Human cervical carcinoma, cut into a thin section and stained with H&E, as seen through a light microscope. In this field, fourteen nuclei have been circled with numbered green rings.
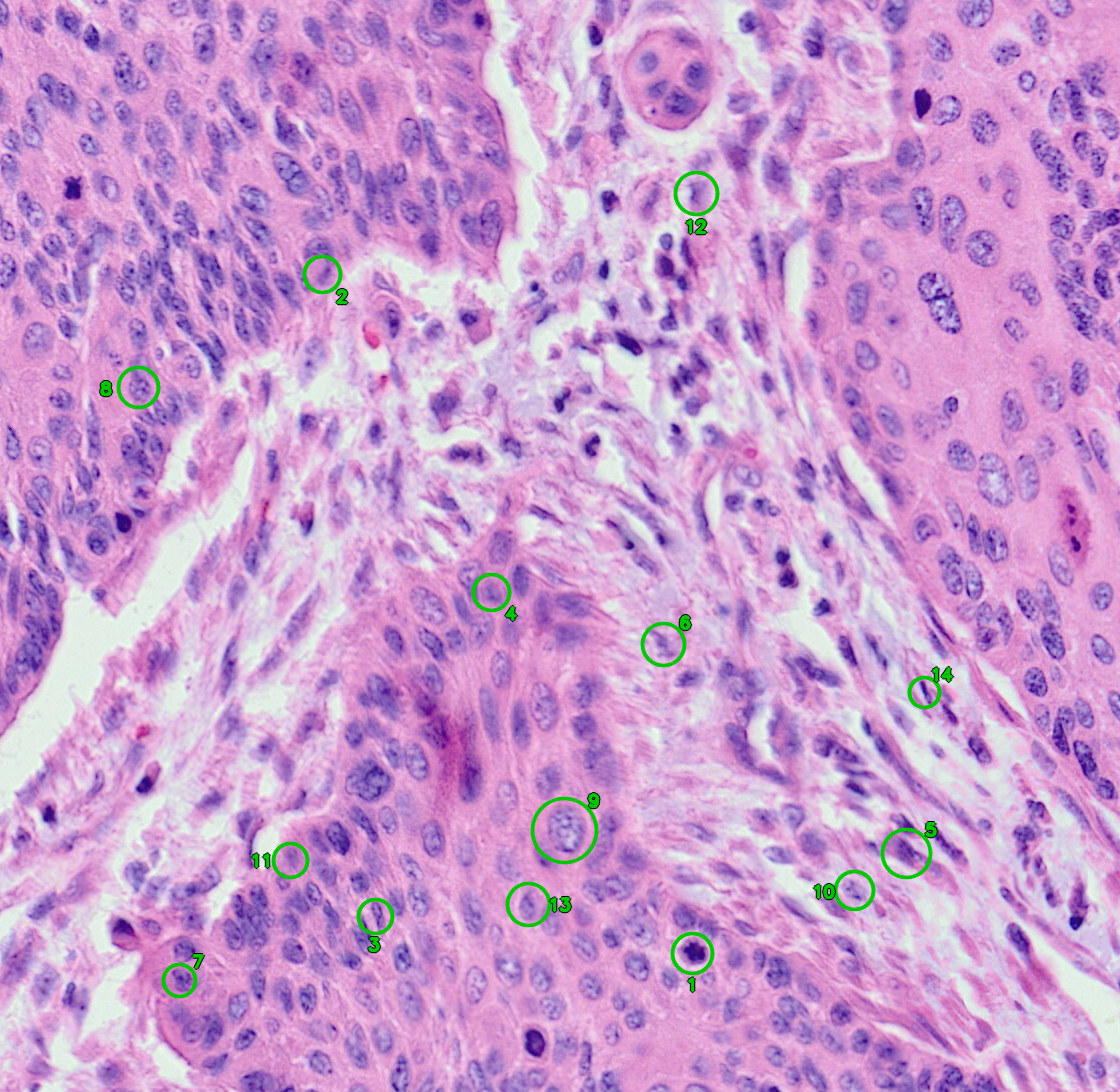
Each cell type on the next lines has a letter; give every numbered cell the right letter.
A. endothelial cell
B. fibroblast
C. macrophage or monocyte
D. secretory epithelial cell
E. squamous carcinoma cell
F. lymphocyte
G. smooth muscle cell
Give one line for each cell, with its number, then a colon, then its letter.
1: F
2: E
3: E
4: E
5: C
6: B
7: E
8: E
9: E
10: B
11: E
12: B
13: E
14: B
